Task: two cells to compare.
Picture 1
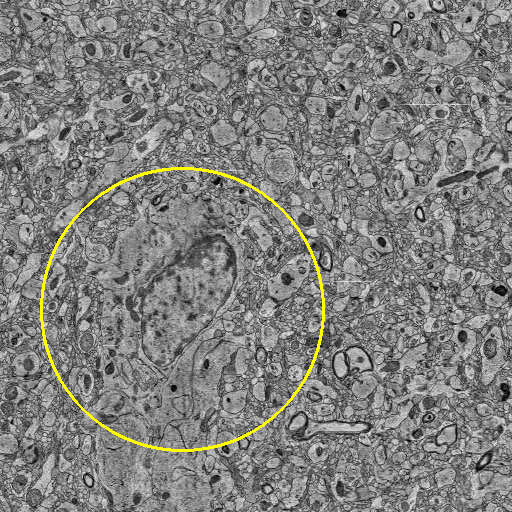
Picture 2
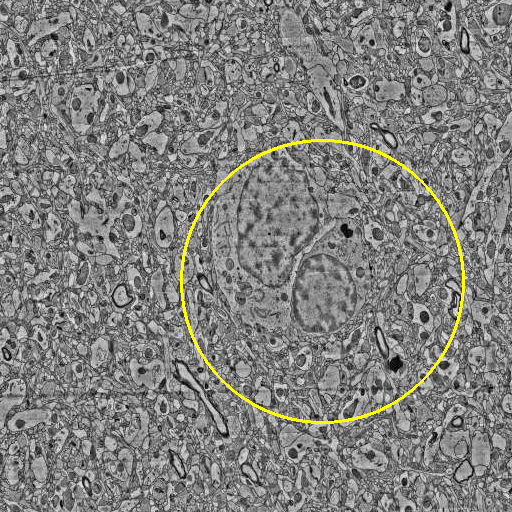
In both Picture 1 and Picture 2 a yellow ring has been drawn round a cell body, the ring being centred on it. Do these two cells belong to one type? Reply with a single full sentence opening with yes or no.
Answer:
No, the two cells at the ring centres in Picture 1 and Picture 2 are of two types.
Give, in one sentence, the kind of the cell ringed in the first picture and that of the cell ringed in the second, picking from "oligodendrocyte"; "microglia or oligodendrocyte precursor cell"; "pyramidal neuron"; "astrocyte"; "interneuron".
For the first picture it is a microglial cell or oligodendrocyte precursor cell; for the second, an oligodendrocyte.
